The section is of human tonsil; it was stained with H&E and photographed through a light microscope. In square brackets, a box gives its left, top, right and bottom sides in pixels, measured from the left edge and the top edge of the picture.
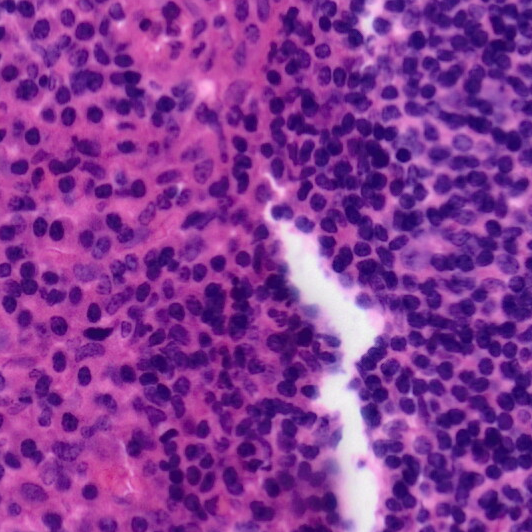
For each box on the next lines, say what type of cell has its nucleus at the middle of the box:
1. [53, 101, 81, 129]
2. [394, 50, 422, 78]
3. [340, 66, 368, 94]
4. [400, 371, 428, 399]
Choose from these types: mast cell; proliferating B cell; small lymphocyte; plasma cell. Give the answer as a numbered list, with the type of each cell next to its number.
1. plasma cell
2. small lymphocyte
3. small lymphocyte
4. small lymphocyte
